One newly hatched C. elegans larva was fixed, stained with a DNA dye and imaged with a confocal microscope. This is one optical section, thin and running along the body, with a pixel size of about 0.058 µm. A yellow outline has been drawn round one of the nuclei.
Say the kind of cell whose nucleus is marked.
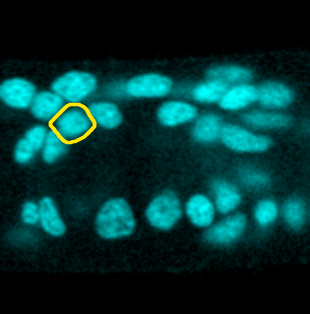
pharyngeal gland cell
